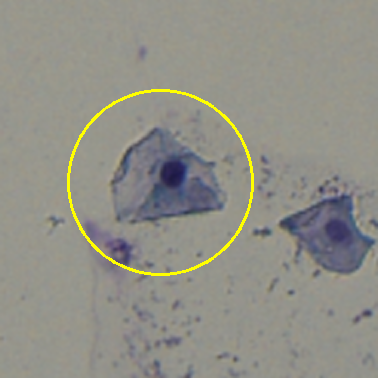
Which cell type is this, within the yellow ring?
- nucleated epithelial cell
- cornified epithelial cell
Within the ring is a nucleated epithelial cell.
